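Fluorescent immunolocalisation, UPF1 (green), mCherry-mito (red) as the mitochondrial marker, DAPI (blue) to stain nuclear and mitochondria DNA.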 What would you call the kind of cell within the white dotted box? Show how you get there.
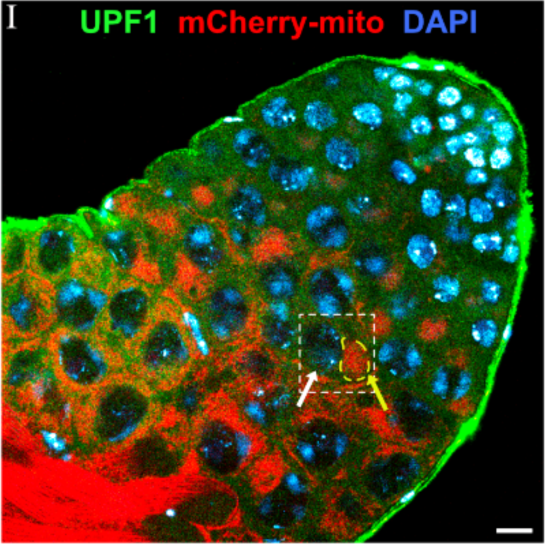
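The box encloses one large round cell with a big nucleus. Many similar large cells with large nuclei pack the surrounding tissue. The answer: primary spermatocyte.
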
